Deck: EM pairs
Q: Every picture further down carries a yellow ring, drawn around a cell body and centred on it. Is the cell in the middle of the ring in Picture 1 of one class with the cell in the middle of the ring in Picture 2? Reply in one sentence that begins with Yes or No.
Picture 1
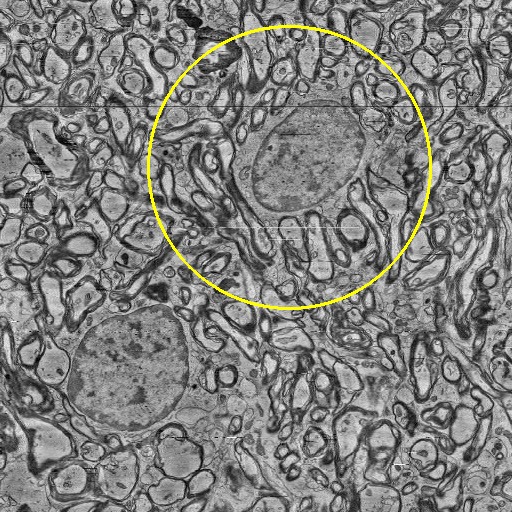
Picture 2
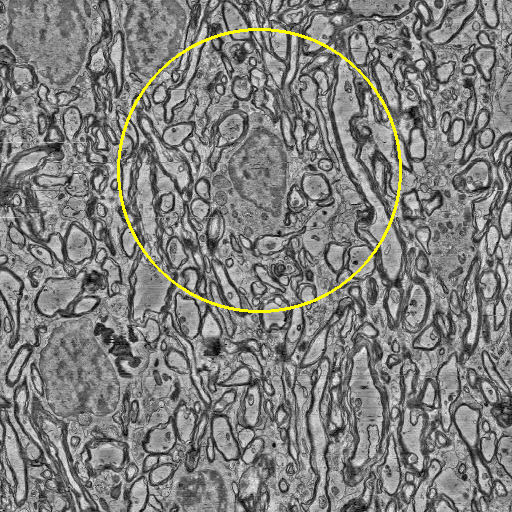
Yes, the cell centred in the ring of Picture 1 and the one in Picture 2 belong to one class.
